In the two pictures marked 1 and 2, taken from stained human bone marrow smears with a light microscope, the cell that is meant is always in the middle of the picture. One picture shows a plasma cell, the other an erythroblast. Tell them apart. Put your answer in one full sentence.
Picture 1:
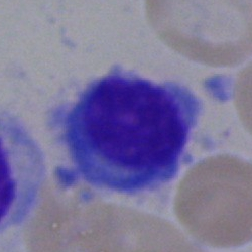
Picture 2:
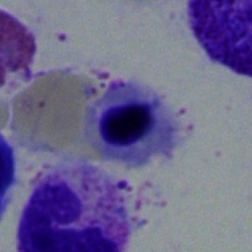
Picture 1 shows a plasma cell and picture 2 shows an erythroblast.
